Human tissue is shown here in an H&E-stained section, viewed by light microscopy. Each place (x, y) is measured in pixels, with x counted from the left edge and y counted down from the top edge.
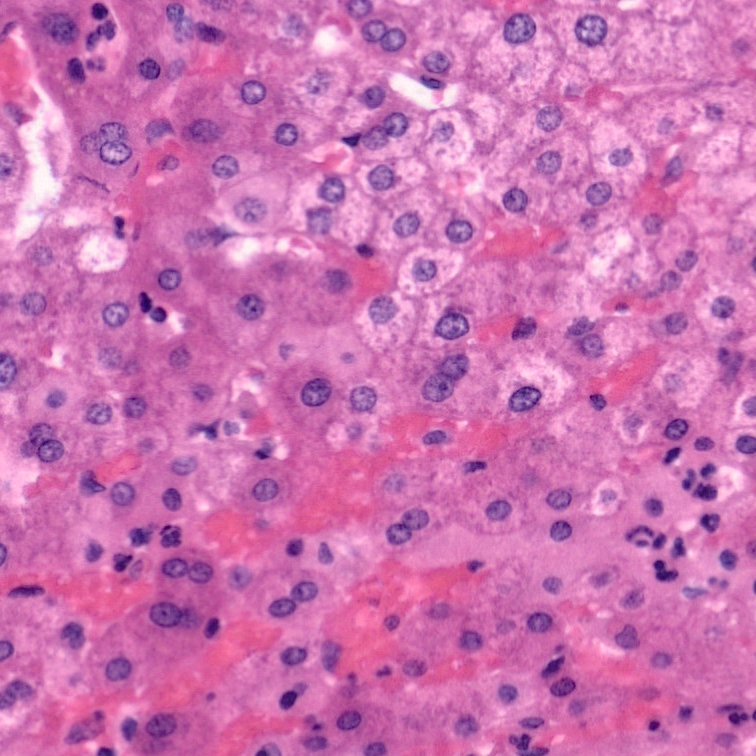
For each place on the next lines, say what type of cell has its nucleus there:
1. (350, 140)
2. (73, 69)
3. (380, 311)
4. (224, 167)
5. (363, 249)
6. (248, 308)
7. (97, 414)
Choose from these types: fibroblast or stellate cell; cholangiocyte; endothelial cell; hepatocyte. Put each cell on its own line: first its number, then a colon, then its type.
1: fibroblast or stellate cell
2: fibroblast or stellate cell
3: hepatocyte
4: hepatocyte
5: fibroblast or stellate cell
6: hepatocyte
7: hepatocyte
